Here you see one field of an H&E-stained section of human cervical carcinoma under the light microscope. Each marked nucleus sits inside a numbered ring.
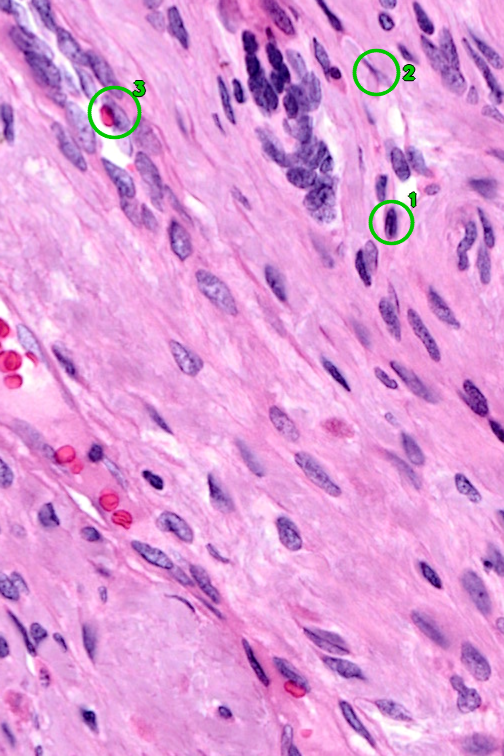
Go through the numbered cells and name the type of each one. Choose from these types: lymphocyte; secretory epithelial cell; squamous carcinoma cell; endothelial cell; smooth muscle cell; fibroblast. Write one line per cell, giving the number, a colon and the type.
1: lymphocyte
2: fibroblast
3: endothelial cell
